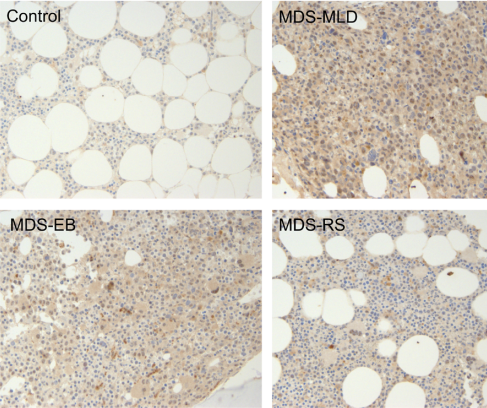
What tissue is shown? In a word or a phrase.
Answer: Bone marrow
